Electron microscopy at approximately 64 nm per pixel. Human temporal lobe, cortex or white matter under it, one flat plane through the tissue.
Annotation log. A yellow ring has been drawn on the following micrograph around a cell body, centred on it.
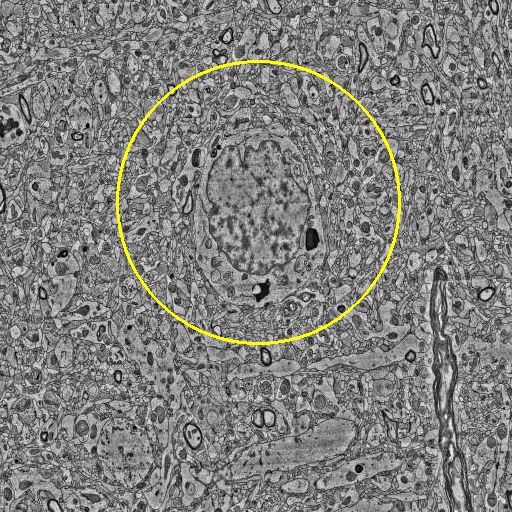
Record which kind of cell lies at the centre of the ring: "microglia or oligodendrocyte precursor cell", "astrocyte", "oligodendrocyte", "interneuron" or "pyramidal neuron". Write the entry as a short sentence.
The cell the ring is centred on is an interneuron.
